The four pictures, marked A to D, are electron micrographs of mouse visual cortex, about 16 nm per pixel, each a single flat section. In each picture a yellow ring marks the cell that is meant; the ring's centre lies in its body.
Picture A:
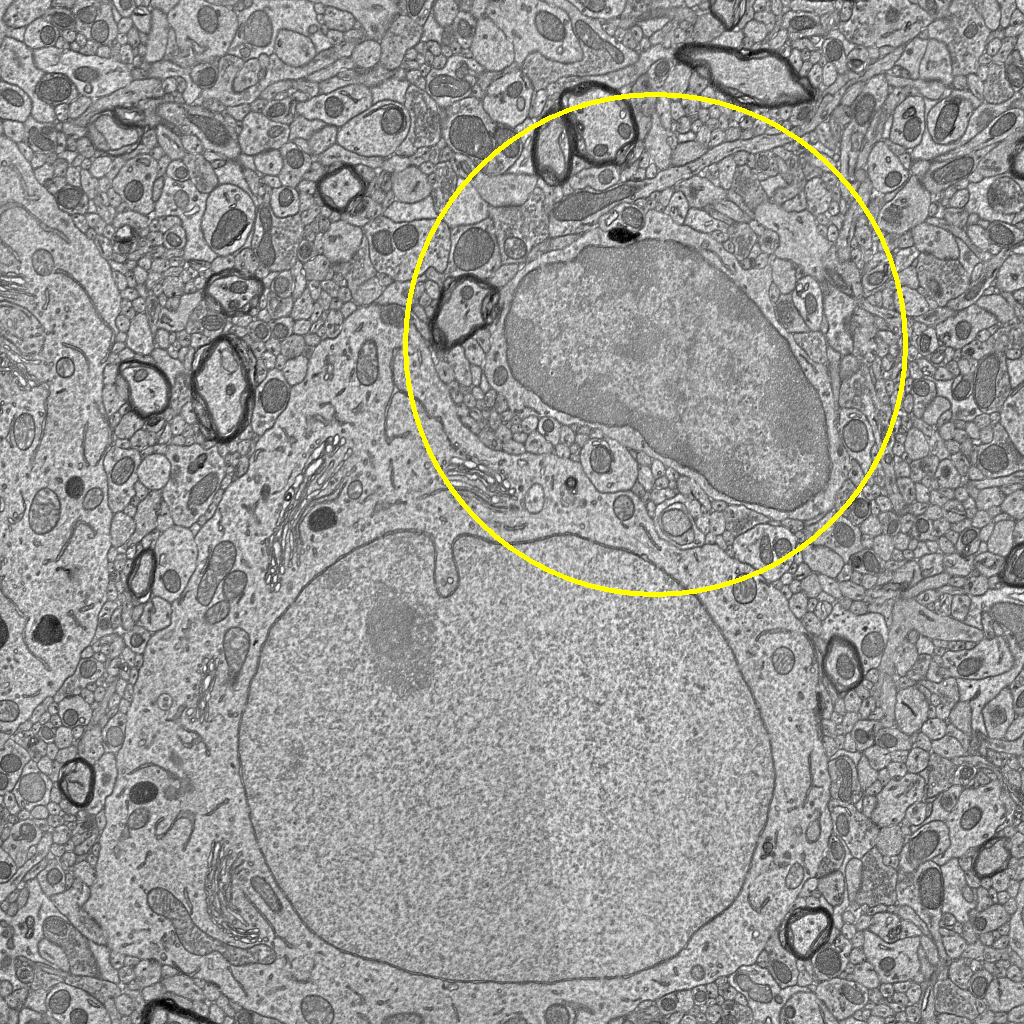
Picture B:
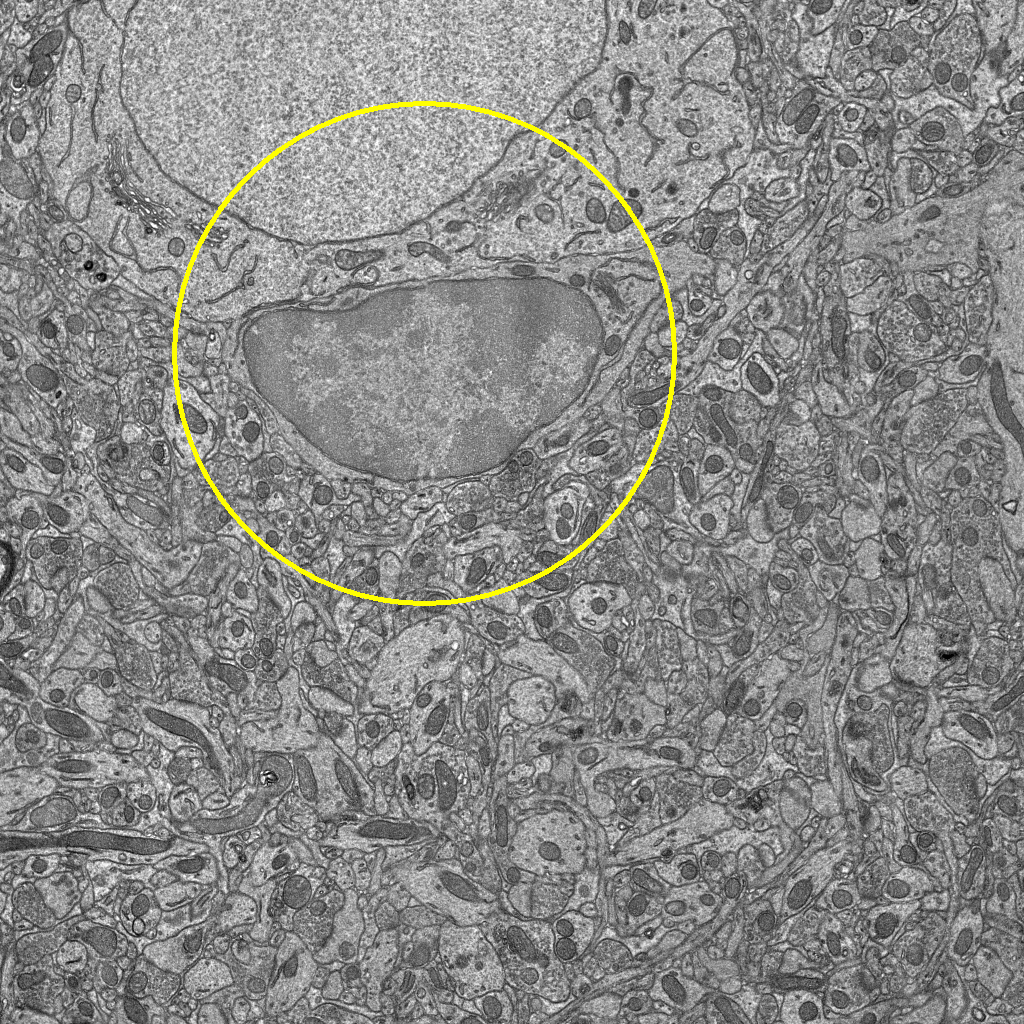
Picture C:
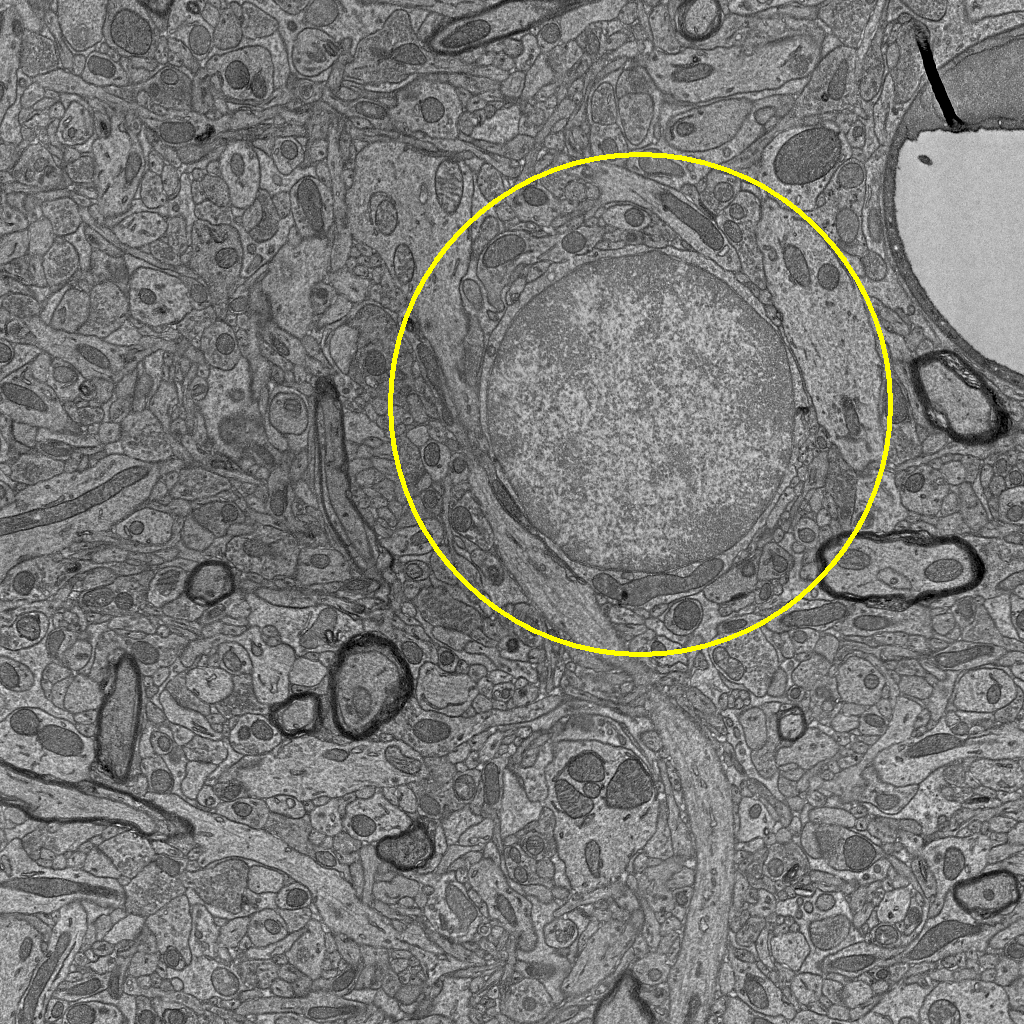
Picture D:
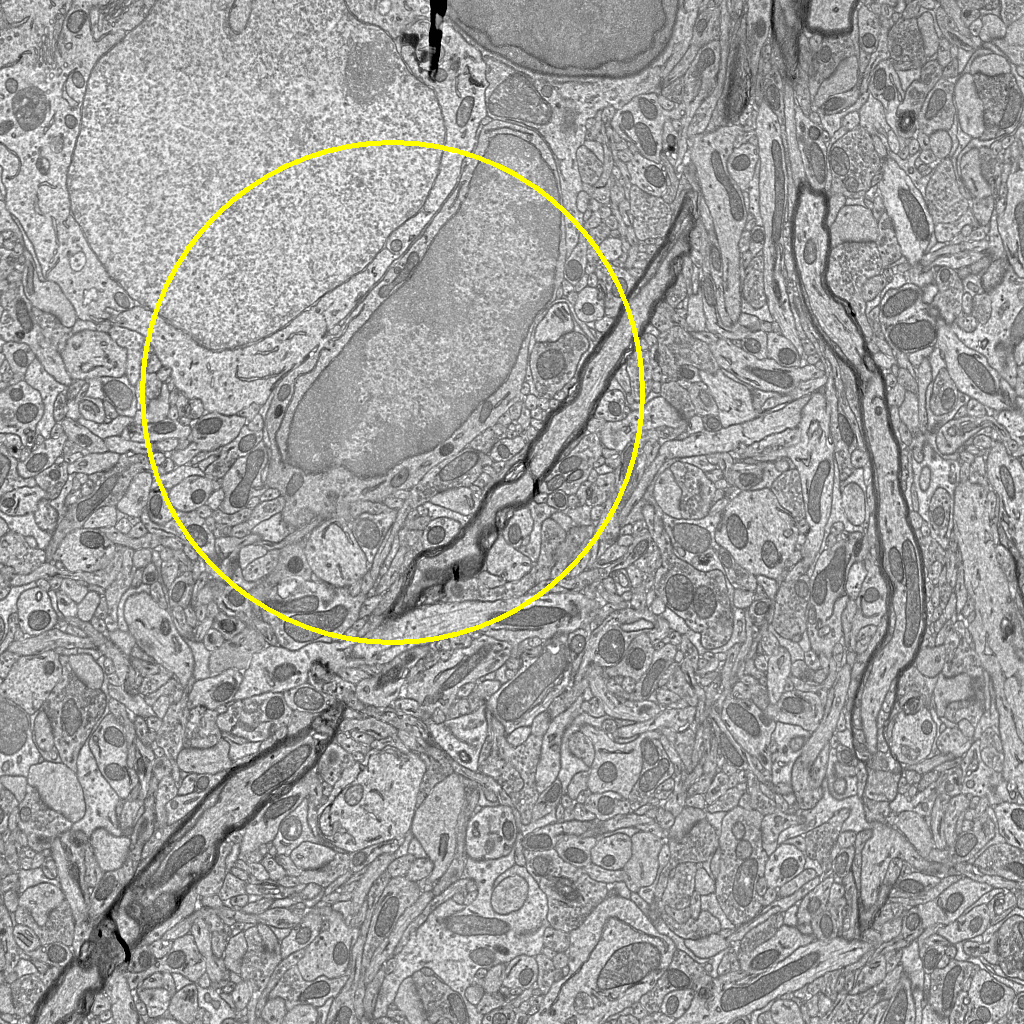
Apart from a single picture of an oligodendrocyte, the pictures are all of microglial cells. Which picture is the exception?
It is picture C that shows the oligodendrocyte.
